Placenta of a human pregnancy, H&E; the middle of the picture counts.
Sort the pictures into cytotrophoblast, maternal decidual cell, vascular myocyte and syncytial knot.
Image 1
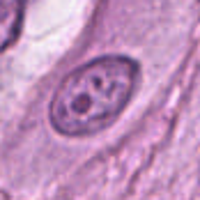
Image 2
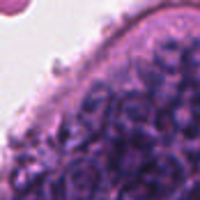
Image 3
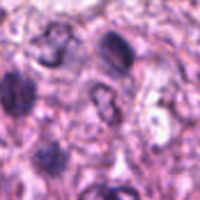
Maternal decidual cells: 1
Syncytial knots: 2
Vascular myocytes: 3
